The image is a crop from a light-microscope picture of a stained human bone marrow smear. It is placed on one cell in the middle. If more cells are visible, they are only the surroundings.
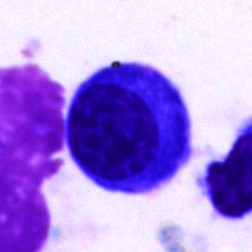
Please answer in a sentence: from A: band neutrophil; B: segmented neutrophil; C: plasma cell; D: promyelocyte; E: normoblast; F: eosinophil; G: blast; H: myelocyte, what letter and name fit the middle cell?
Option C, which names the central cell as a plasma cell, is correct.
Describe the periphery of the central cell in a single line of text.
No projections interrupt the outline; it is smooth all the way round.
